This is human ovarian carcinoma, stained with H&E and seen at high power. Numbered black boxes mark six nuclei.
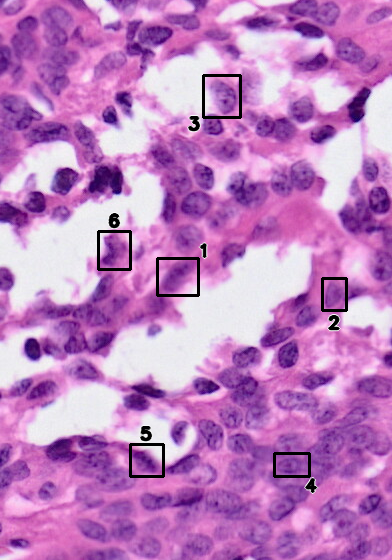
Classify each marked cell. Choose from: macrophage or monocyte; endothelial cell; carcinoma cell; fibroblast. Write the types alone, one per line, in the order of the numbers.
carcinoma cell
carcinoma cell
macrophage or monocyte
carcinoma cell
carcinoma cell
macrophage or monocyte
